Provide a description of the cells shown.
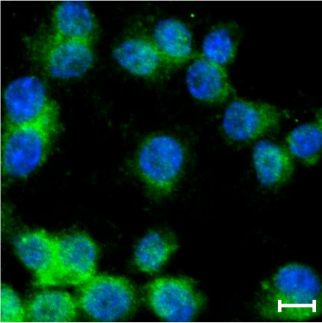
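Cultured cells with round to oval blue nuclei, each surrounded by cytoplasm. The green label lies mainly in the cytoplasm, forming a diffuse rim around each nucleus. The nuclei remain largely blue, with only faint green over them. Several cells lie in small clusters and touch one another.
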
